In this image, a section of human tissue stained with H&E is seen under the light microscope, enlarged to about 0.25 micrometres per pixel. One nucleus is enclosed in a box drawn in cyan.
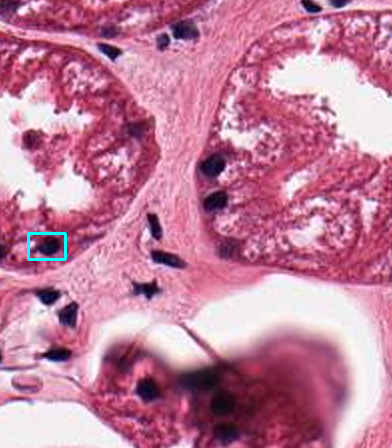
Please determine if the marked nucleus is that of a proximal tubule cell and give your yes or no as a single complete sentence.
Yes, the marked nucleus is found within a proximal tubule cell.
